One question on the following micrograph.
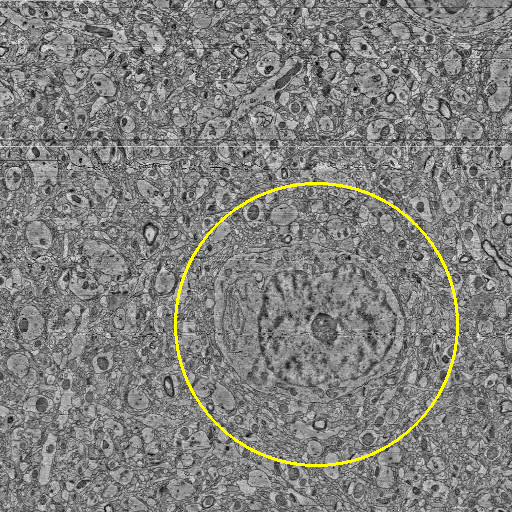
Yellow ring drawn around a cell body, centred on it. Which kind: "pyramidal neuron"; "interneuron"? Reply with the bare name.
interneuron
